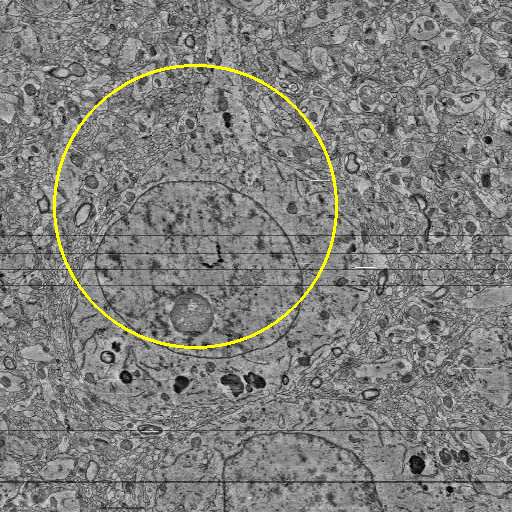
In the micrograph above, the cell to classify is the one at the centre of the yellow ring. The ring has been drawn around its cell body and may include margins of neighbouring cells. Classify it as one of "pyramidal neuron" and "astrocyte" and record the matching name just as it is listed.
pyramidal neuron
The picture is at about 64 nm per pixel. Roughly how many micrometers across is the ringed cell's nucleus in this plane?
In this plane, roughly 13 by 12 micrometres.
